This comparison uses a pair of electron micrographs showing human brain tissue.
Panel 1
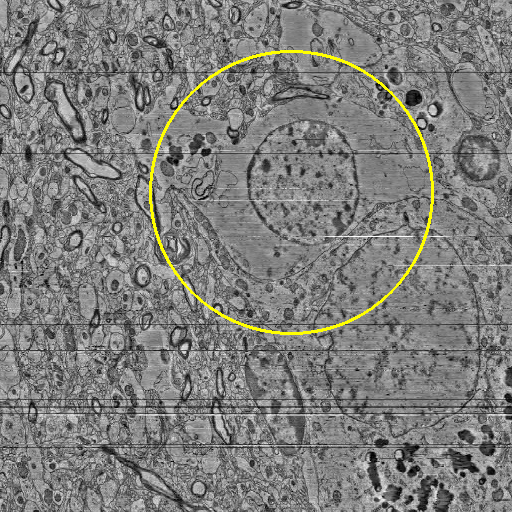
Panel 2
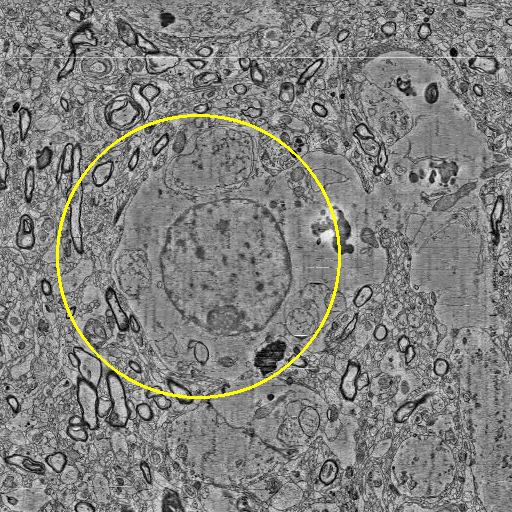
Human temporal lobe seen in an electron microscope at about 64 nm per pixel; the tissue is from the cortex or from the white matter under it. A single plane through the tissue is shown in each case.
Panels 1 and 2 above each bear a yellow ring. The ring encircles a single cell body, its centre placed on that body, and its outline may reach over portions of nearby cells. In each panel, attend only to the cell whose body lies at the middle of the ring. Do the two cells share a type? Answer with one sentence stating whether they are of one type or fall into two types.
In Panel 1 and Panel 2, the cells at the centres of the rings are of one type.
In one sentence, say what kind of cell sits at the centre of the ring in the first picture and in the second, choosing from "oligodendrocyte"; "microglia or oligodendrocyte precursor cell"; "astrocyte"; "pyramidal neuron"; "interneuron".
Each of the two rings is centred on an astrocyte.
